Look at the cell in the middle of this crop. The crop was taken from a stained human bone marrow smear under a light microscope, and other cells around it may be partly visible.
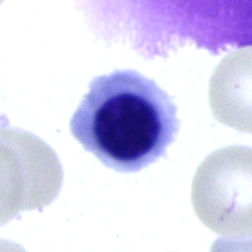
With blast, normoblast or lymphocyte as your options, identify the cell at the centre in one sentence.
Of the cells in this crop, the central one is a normoblast.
